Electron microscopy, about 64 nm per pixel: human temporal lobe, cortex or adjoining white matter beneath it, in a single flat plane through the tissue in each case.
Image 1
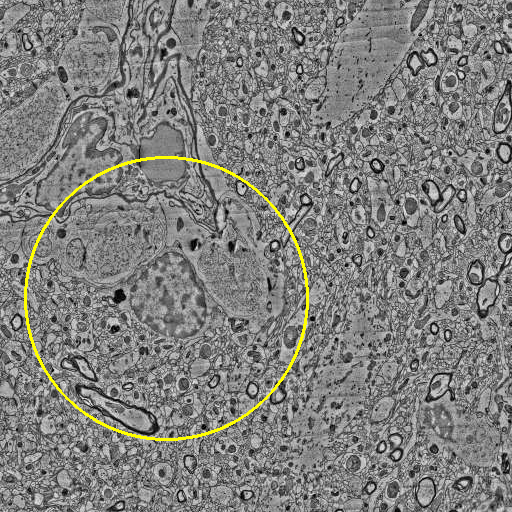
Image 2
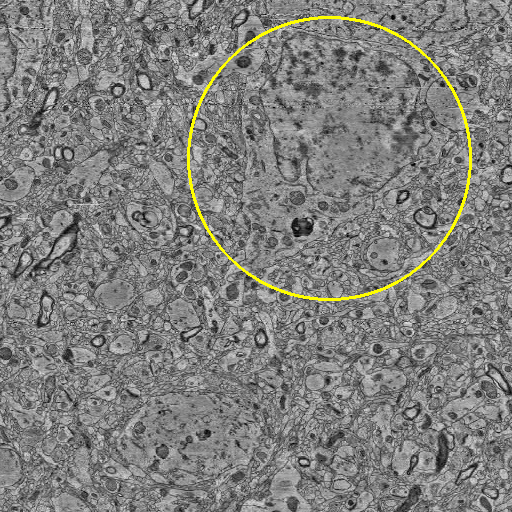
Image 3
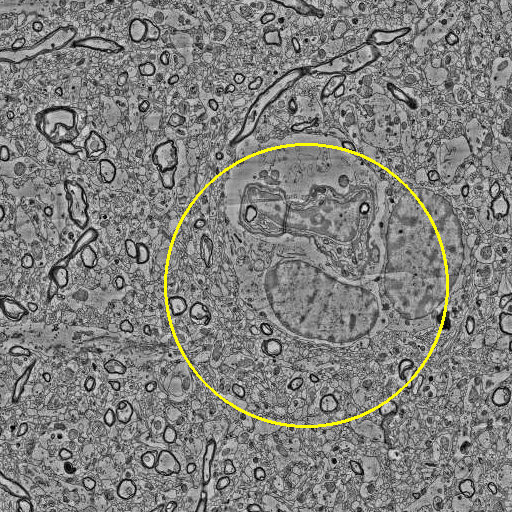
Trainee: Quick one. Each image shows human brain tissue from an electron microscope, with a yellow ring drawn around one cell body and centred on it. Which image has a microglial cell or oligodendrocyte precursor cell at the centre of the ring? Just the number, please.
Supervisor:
3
